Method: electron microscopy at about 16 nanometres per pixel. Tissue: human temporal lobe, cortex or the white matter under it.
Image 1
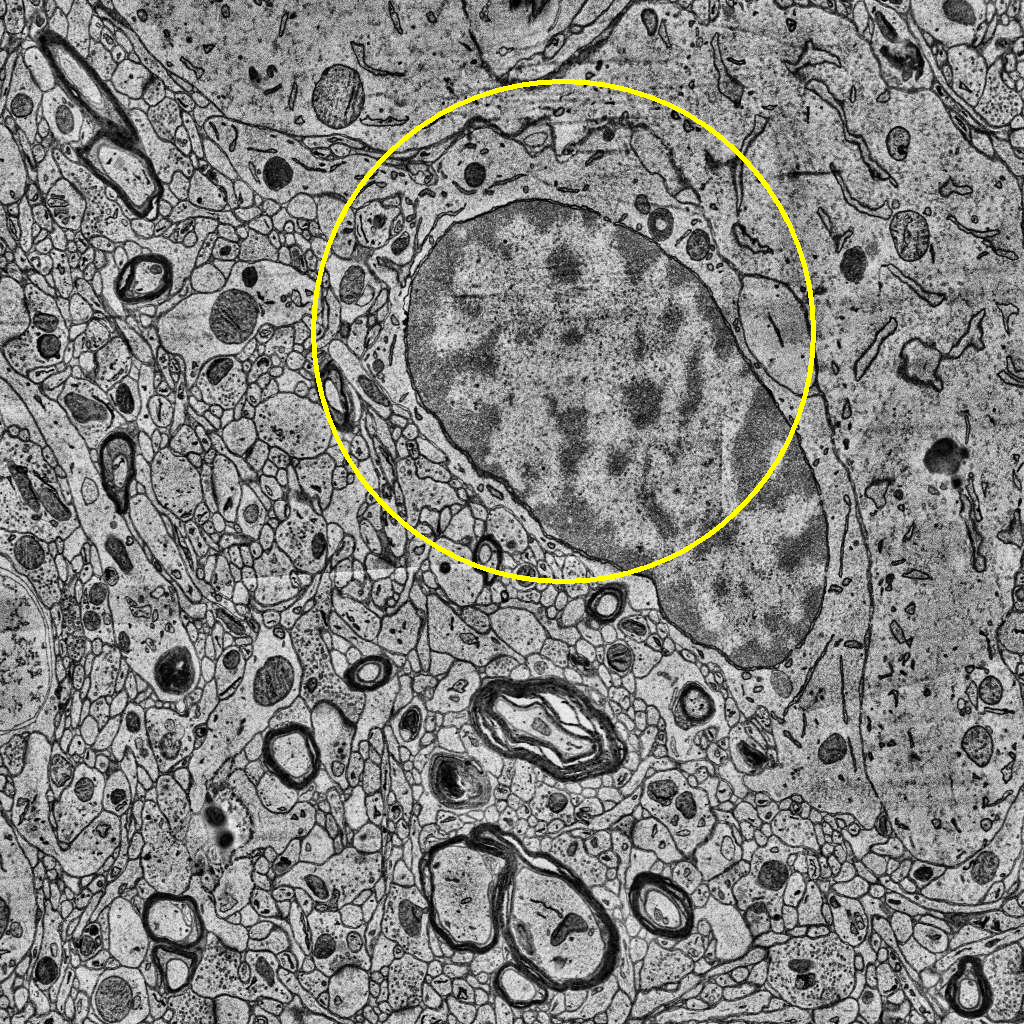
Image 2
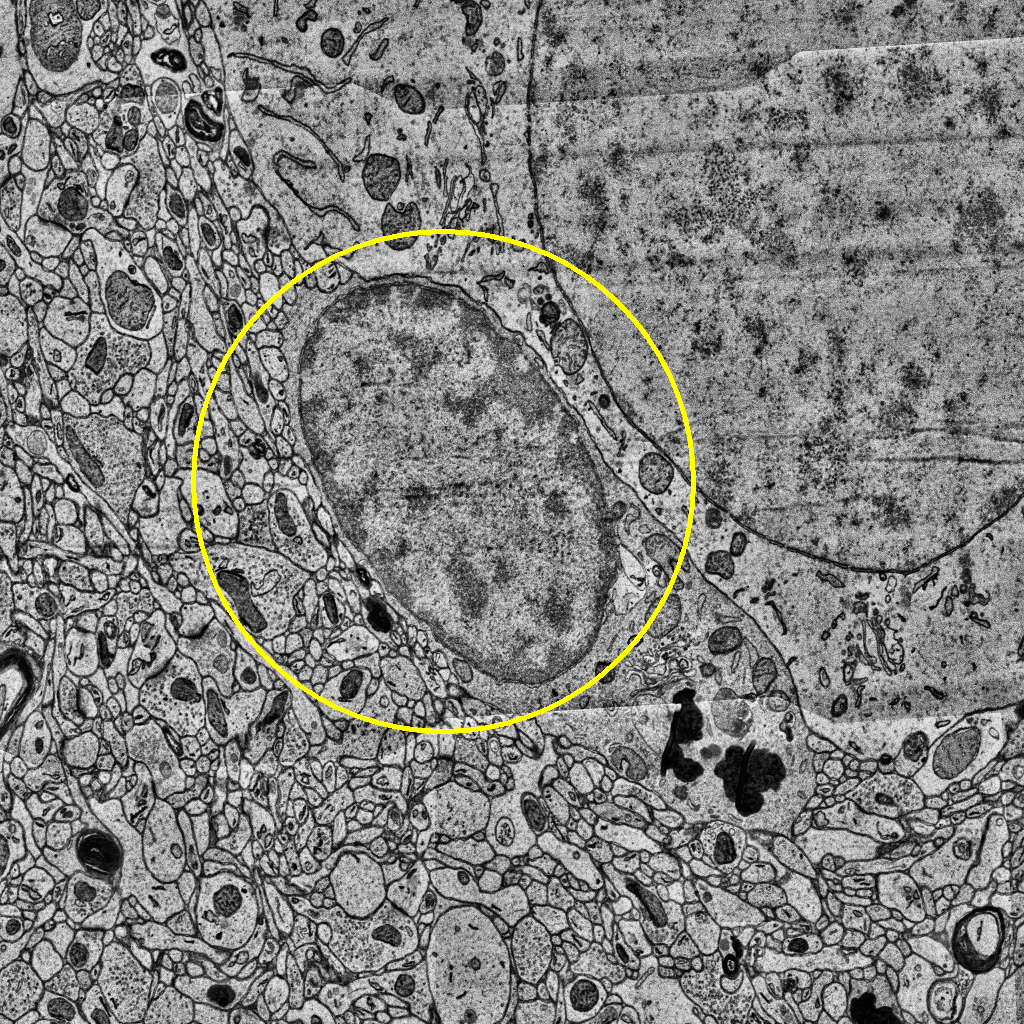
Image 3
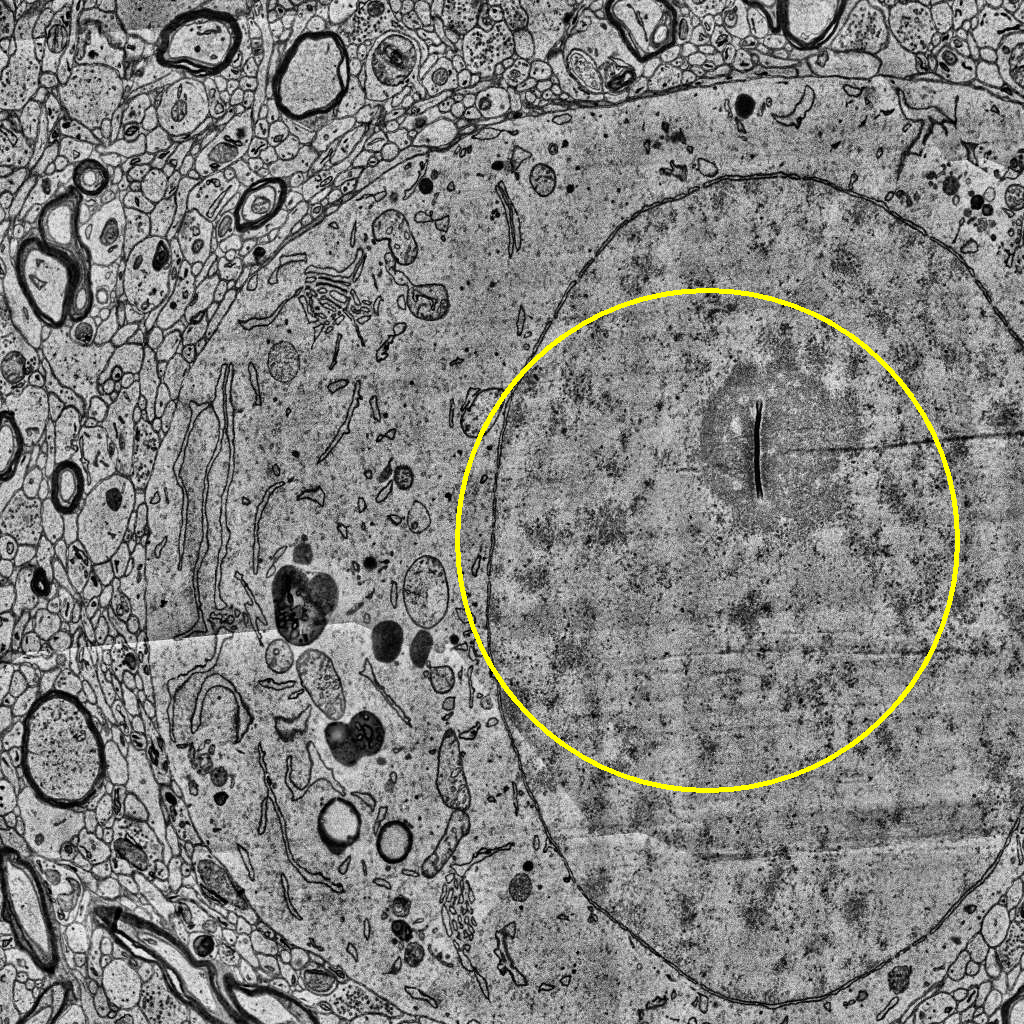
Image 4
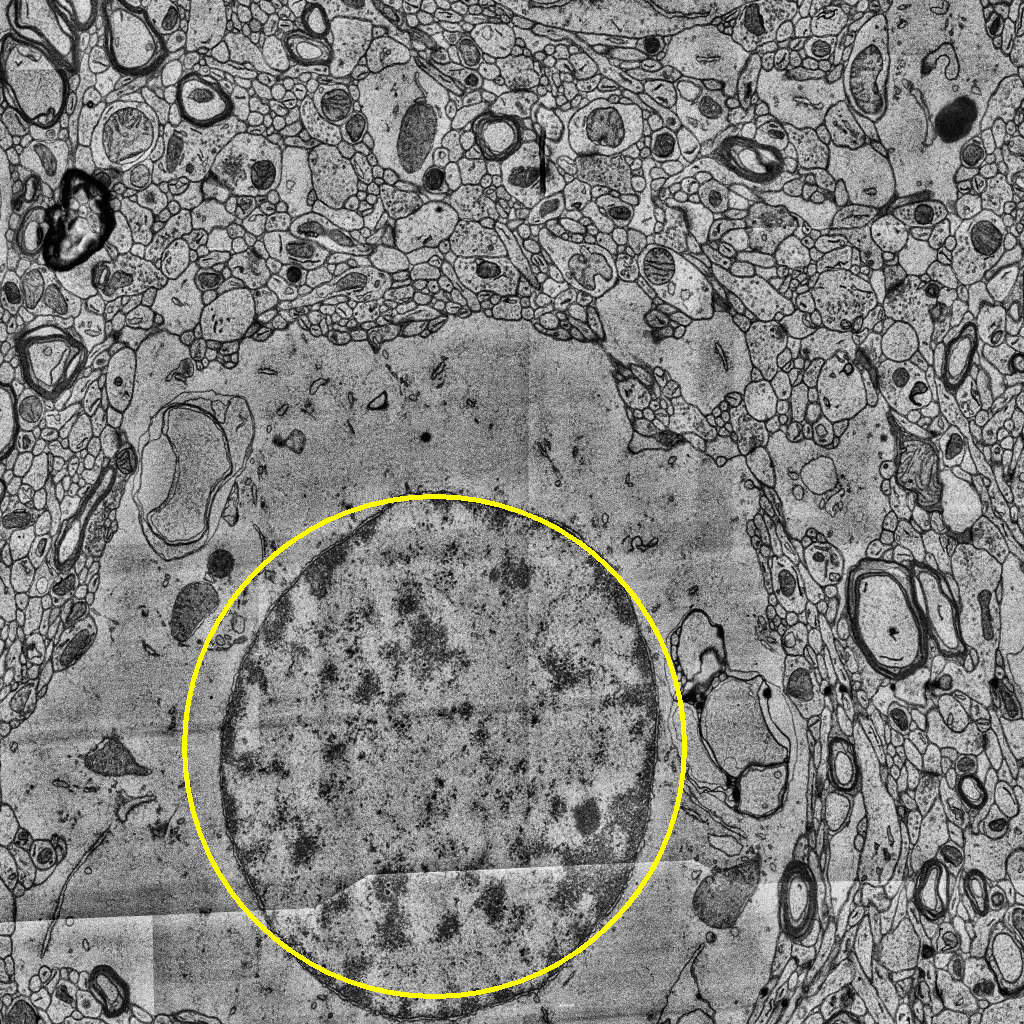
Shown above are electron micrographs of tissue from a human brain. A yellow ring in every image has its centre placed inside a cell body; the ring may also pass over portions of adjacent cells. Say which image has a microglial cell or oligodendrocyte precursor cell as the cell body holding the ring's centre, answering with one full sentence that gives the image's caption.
The image whose ring has its centre inside the requested cell is Image 1.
